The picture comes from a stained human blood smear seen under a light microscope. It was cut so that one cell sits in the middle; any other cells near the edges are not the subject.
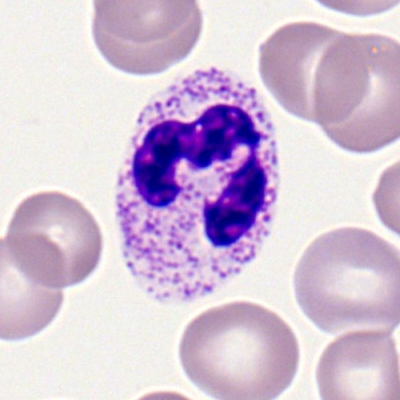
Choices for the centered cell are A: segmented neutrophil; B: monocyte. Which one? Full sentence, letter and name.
For this crop, option A is right, the centered cell being a segmented neutrophil.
